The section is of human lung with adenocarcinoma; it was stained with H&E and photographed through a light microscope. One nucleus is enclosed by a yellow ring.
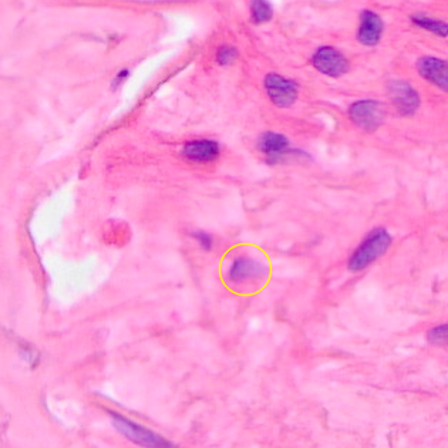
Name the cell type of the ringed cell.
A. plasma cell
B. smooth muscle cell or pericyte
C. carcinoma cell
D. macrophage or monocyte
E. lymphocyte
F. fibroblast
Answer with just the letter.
B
